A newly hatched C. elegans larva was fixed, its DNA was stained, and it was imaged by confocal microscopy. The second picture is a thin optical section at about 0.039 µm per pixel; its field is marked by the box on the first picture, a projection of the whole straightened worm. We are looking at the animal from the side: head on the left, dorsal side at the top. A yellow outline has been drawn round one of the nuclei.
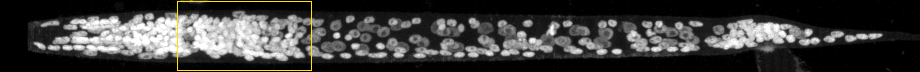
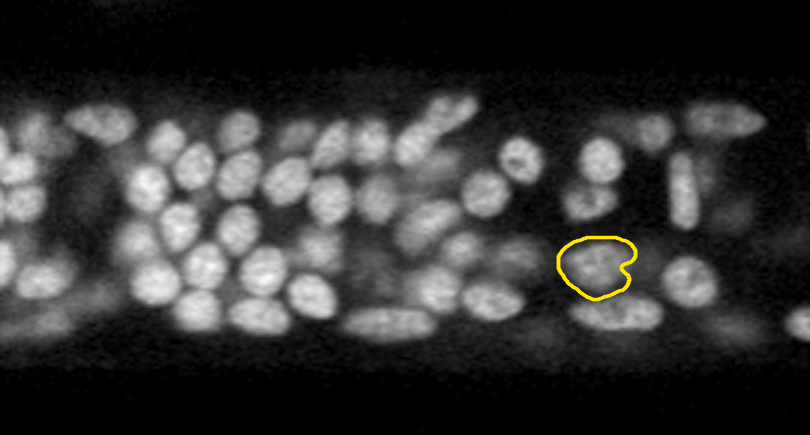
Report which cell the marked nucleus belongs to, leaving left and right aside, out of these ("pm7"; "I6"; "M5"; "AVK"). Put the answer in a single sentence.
The marked nucleus is that of pm7, a pharyngeal muscle cell.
